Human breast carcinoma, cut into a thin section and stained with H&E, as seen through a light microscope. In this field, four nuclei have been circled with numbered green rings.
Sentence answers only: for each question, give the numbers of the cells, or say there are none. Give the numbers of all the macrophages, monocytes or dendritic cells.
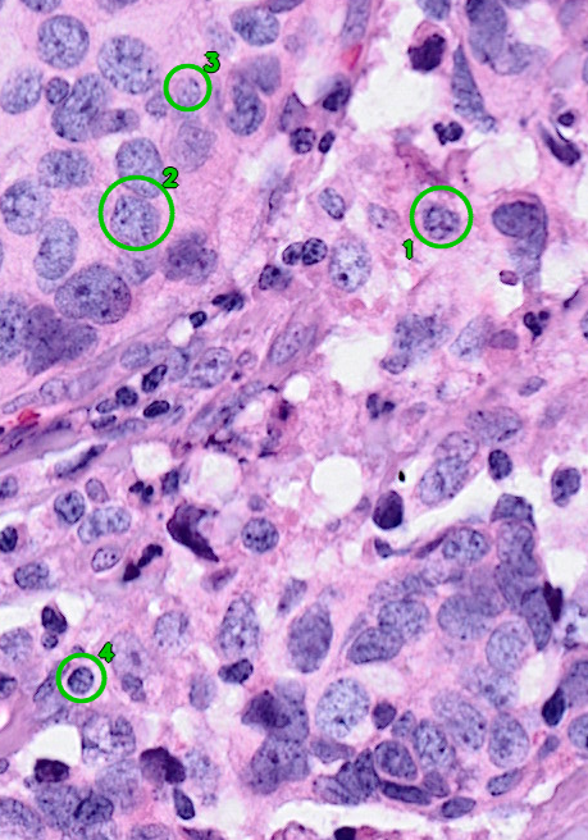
Of the cells carrying numbers, just cell 1 is a macrophage, monocyte or dendritic cell.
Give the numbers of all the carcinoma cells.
The cells with labels 2 and 3 are carcinoma cells.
